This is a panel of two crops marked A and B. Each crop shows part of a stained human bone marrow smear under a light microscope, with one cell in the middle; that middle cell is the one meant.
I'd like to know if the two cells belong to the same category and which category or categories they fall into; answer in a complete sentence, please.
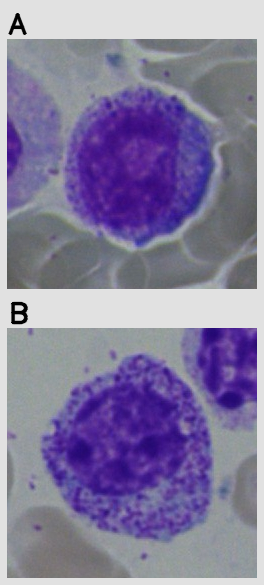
Yes, myelocytes are what the two crops show.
